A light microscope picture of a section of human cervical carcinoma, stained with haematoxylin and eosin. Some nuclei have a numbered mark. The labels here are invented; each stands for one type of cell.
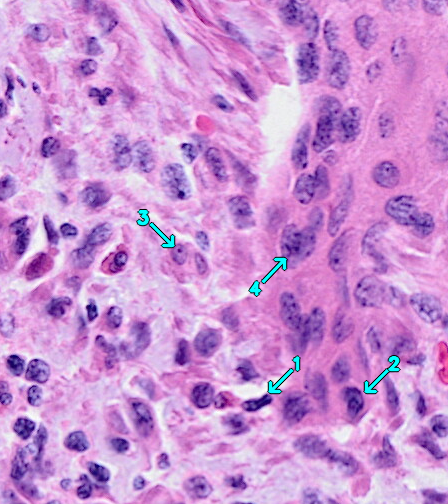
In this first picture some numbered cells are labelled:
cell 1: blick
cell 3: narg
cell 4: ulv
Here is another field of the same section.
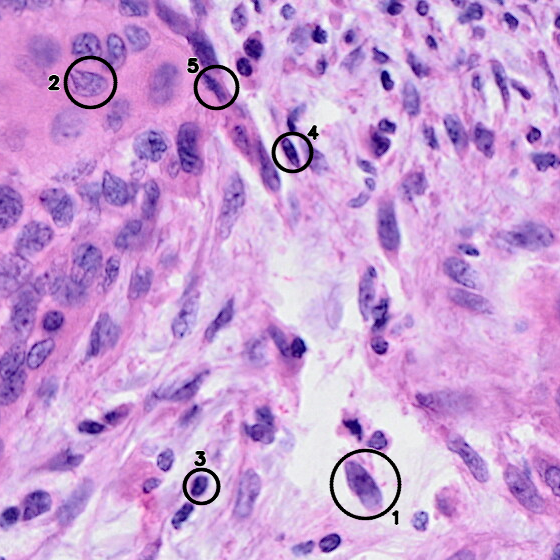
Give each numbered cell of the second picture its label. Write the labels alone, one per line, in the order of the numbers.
narg
ulv
blick
blick
ulv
